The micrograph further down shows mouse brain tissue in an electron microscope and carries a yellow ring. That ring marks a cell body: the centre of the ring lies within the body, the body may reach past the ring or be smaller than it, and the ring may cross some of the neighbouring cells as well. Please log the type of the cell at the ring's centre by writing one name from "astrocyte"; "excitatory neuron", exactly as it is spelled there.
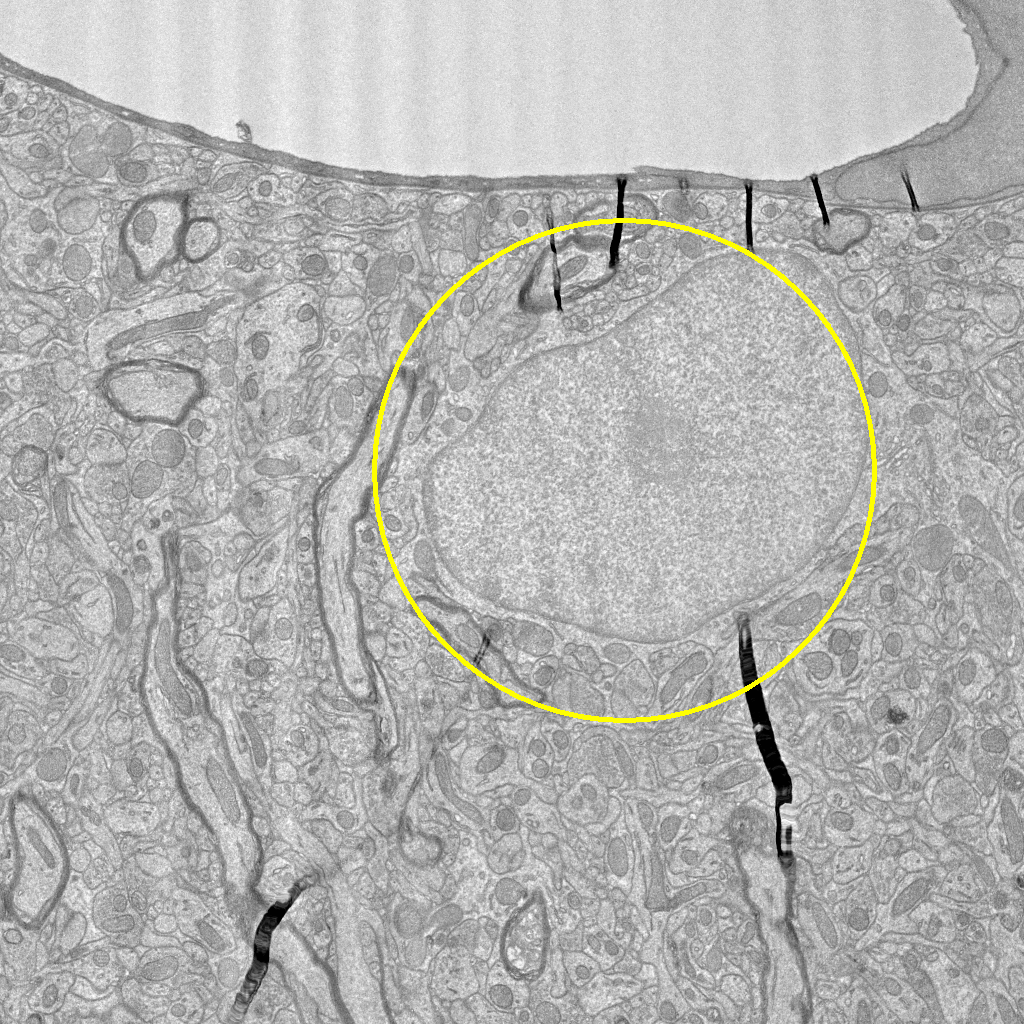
astrocyte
